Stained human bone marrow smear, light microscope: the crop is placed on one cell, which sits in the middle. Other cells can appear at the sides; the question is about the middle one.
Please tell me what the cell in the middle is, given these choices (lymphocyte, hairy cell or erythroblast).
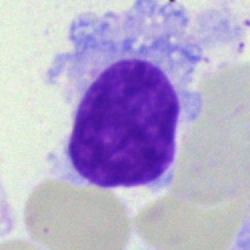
hairy cell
